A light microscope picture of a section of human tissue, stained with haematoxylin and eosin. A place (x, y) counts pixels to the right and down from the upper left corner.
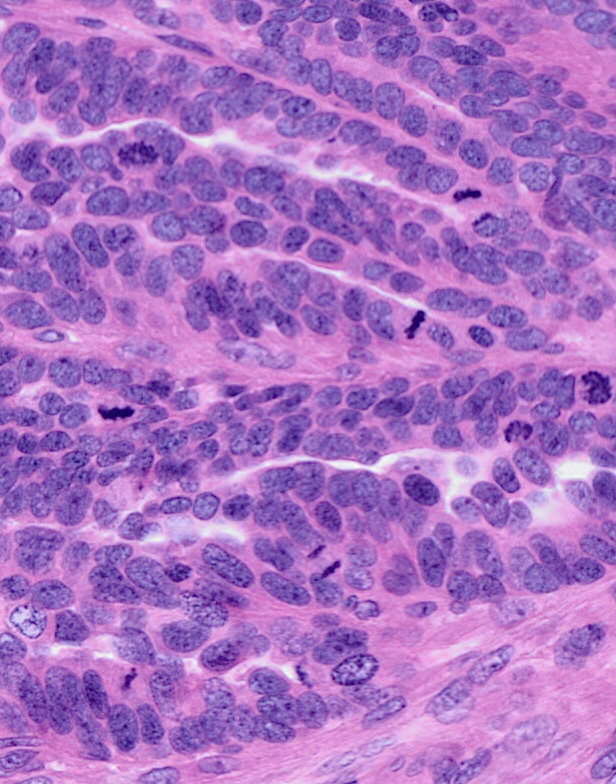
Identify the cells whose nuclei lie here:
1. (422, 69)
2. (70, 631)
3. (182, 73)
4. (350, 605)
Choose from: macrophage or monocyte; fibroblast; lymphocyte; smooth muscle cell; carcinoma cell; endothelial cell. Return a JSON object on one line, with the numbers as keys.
{"1": "carcinoma cell", "2": "carcinoma cell", "3": "carcinoma cell", "4": "macrophage or monocyte"}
